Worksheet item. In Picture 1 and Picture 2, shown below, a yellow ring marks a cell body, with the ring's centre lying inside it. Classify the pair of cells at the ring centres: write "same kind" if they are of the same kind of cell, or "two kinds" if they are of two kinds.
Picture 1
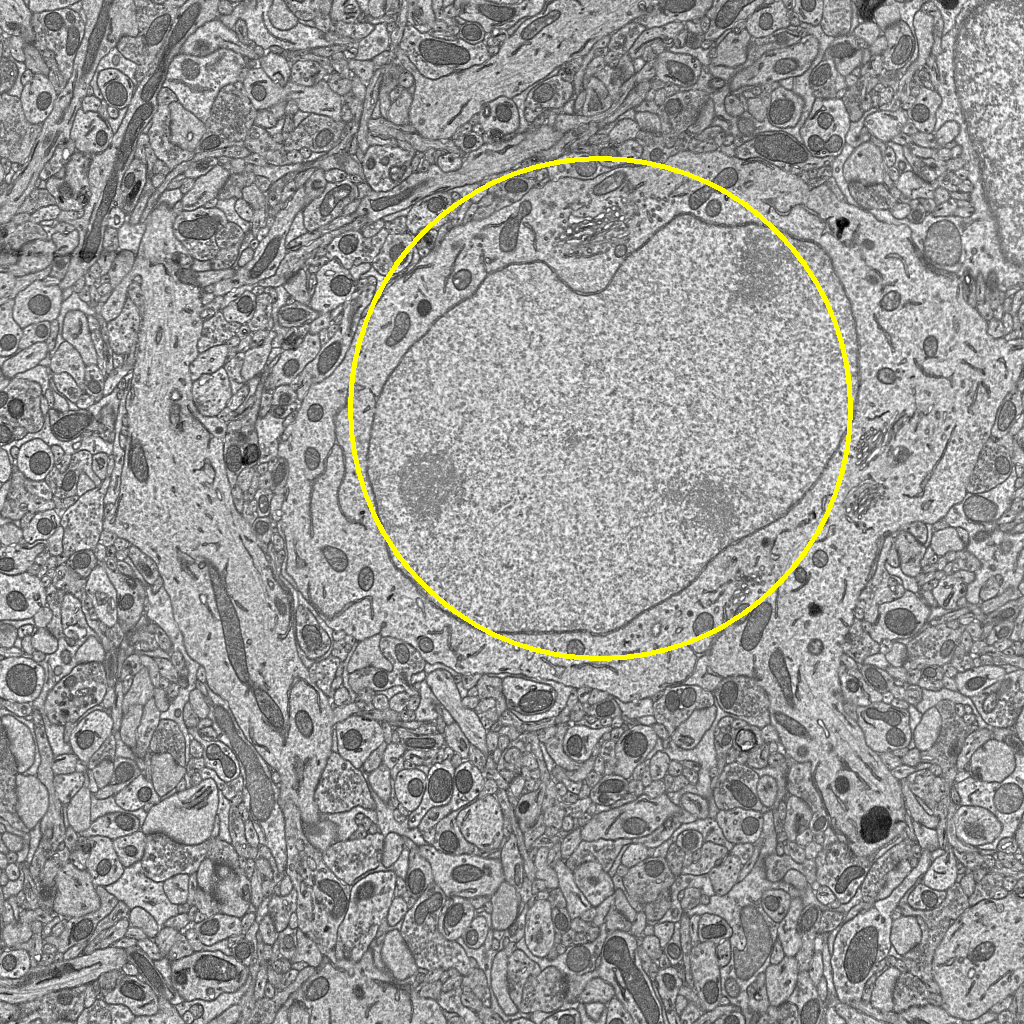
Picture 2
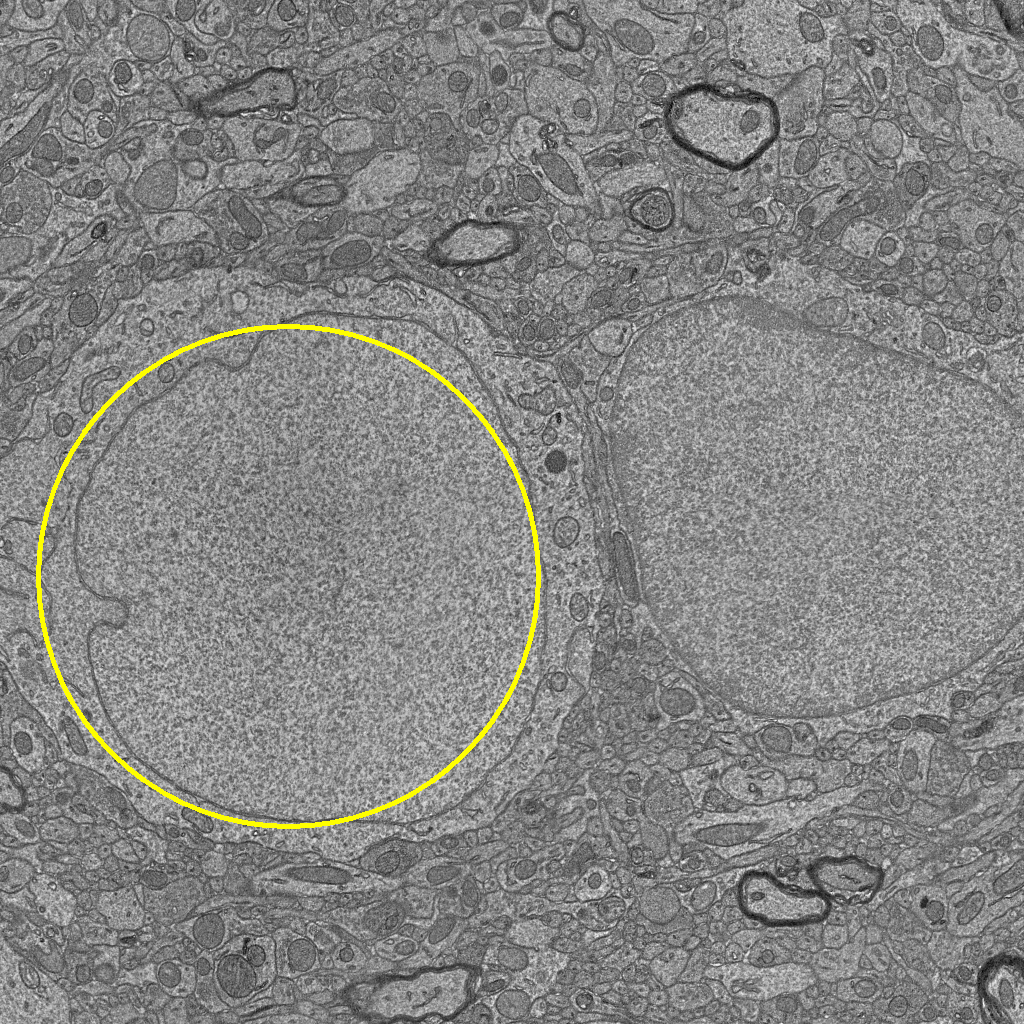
same kind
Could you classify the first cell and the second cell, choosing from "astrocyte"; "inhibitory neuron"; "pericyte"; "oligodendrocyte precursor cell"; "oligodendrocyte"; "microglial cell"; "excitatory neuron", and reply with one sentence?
Each of the two pictures has an excitatory neuron at the ring centre.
